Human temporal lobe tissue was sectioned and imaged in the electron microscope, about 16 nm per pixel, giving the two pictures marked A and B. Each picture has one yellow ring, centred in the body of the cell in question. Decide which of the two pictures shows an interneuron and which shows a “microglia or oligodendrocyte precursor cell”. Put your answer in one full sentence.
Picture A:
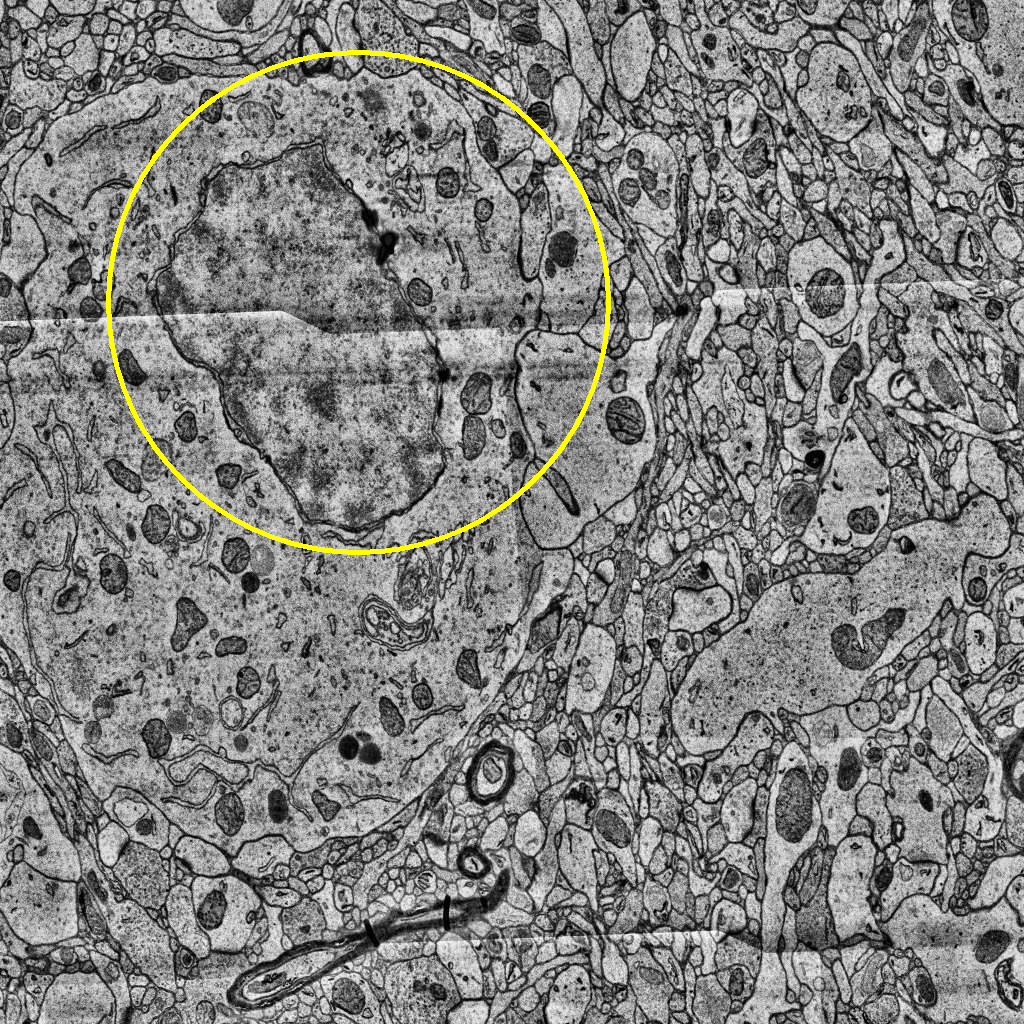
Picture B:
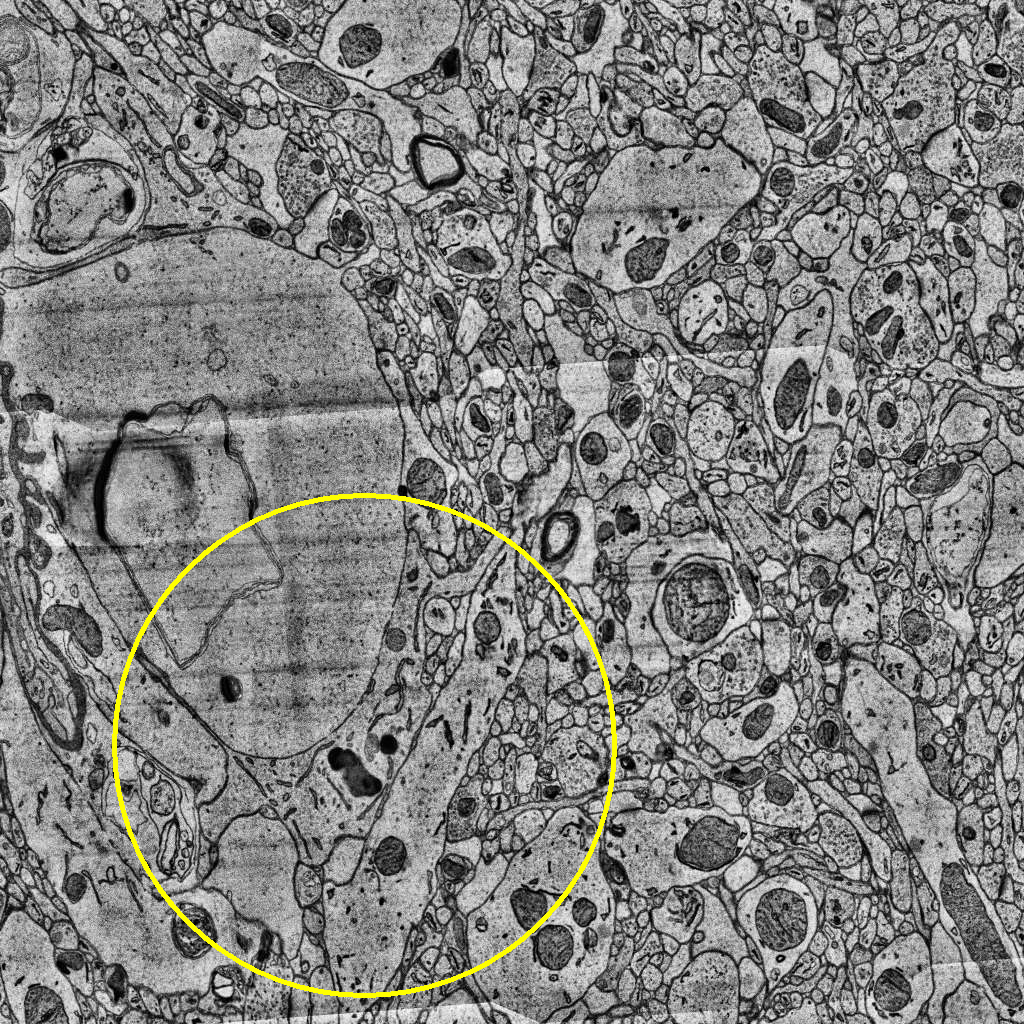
The cell in picture A is an interneuron, and the one in picture B is a “microglia or oligodendrocyte precursor cell”.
